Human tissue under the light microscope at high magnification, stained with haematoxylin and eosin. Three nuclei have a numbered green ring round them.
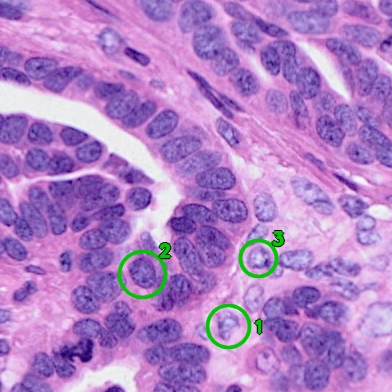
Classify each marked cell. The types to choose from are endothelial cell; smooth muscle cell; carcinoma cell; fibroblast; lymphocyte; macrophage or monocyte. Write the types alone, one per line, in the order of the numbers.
fibroblast
carcinoma cell
fibroblast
